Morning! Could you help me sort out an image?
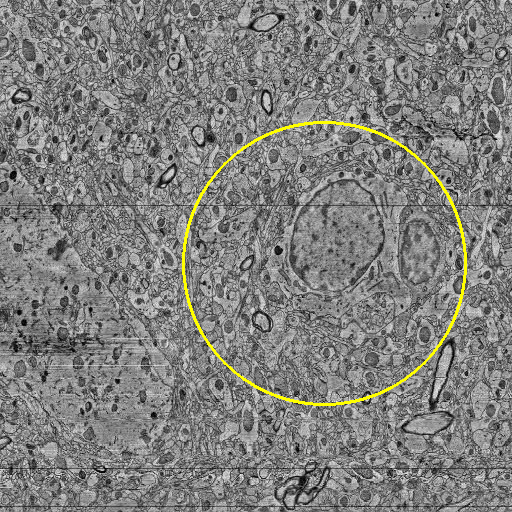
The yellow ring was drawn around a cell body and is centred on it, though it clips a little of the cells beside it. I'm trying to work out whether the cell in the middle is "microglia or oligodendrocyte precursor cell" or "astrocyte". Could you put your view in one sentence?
The ringed cell body is that of a microglial cell or oligodendrocyte precursor cell.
